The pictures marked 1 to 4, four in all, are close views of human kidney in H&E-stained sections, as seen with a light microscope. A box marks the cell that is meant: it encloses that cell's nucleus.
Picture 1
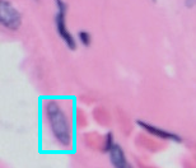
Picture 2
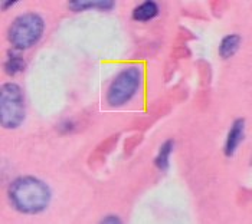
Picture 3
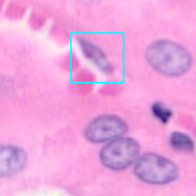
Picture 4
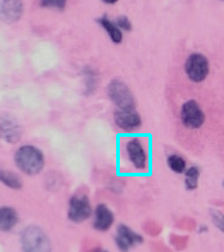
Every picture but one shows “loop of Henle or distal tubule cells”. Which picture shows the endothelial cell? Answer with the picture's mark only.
3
